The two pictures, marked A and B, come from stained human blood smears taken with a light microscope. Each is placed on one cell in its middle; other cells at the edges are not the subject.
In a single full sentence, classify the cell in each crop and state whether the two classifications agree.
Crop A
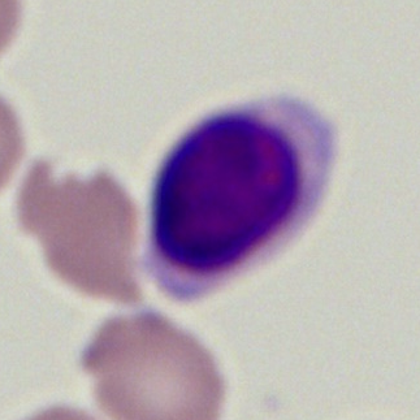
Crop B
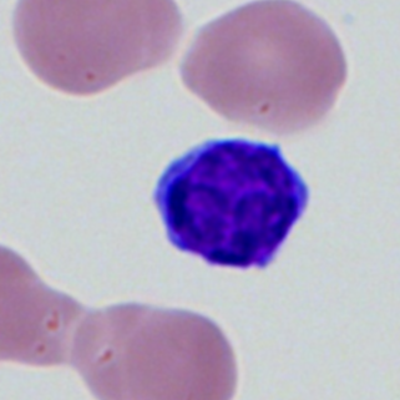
Yes, the cells found in the middle of both crops are lymphocytes.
